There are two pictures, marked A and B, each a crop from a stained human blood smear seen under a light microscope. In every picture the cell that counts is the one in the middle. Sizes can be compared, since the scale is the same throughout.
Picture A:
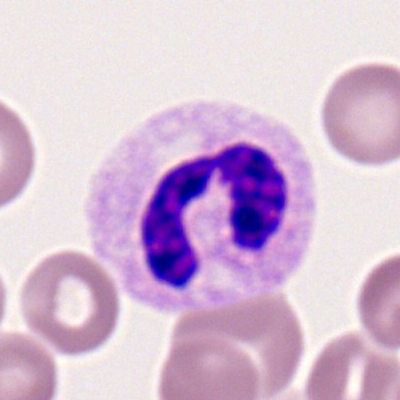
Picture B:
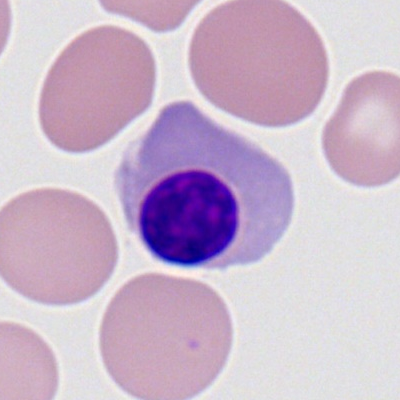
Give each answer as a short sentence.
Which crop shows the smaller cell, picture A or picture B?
The cell in picture B is smaller; the one in picture A has about 2 times its area.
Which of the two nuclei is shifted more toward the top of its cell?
In picture A the nucleus is shifted more toward the top.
